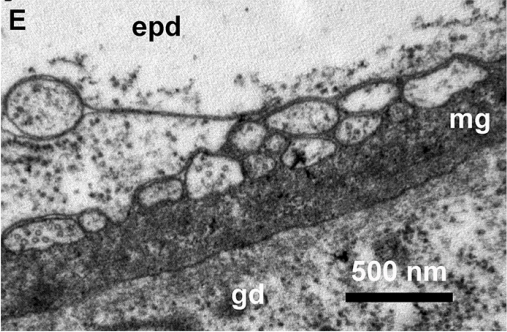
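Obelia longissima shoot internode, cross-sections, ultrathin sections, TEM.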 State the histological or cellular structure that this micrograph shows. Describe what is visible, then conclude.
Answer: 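Flattened bundles of neurites. A row of small pale membrane-bound profiles lies in a flat layer. The layer sits on the dense mesoglea band, beneath the epidermis. Some profiles contain small round tubule cross-sections.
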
